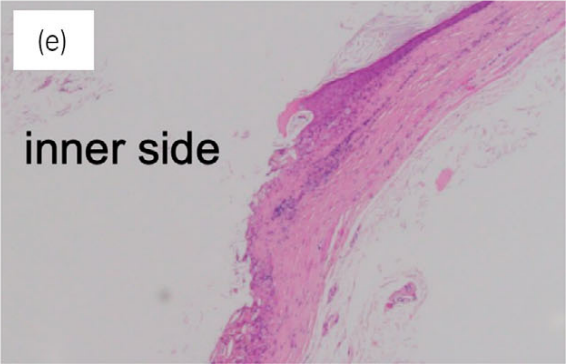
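This is the wall of a cyst, and its inner surface is lined by a stratified squamous epithelium, seen as a diagonal band of pink cells stacked in several layers. Purple nuclei crowd within the band, and thin pink flaky material lies on the side facing the cyst's inner space, while paler, looser tissue lies on the outer side.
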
